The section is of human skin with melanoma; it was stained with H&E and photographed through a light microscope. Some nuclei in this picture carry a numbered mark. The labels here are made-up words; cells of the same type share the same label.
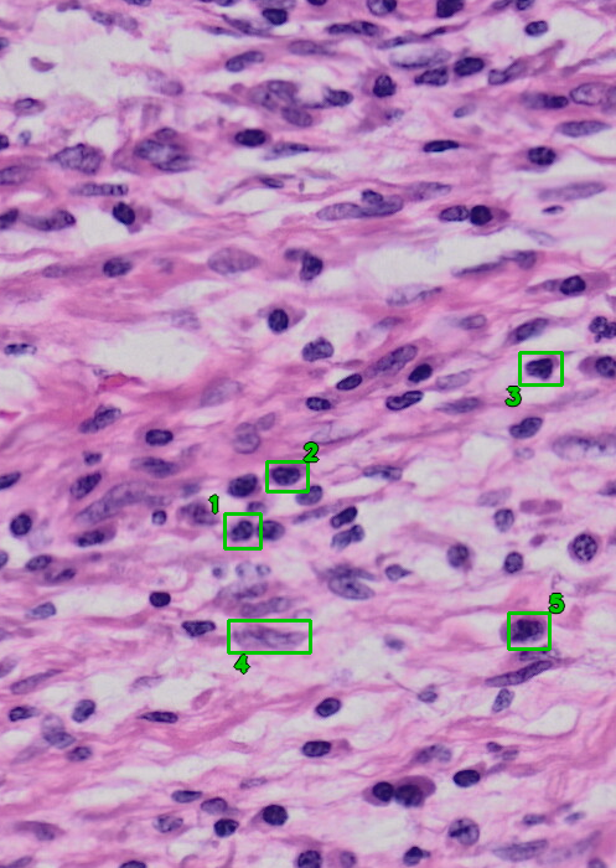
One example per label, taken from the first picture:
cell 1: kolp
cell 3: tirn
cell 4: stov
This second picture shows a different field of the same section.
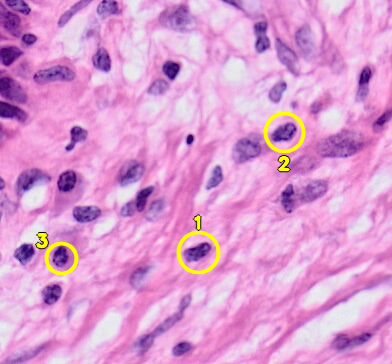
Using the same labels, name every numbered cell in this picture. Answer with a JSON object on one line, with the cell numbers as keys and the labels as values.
{"1": "kolp", "2": "kolp", "3": "tirn"}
